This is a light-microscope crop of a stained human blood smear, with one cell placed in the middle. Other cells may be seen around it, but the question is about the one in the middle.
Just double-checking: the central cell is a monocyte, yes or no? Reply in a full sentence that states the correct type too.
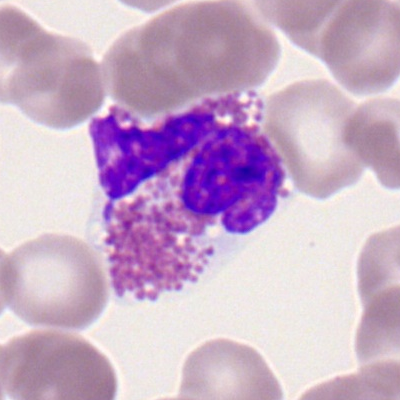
No, the cell in the middle is an eosinophil, not a monocyte.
